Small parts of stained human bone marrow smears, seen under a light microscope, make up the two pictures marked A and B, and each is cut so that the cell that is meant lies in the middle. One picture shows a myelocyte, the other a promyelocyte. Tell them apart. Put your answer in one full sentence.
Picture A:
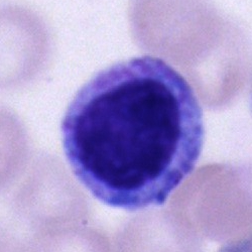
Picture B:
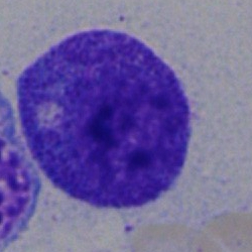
In picture A the cell is a myelocyte; in picture B, a promyelocyte.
